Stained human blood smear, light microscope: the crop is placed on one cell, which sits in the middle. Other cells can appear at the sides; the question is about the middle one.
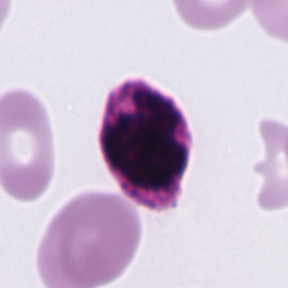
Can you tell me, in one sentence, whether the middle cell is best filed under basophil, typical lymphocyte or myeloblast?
This crop is built around a basophil at its centre.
